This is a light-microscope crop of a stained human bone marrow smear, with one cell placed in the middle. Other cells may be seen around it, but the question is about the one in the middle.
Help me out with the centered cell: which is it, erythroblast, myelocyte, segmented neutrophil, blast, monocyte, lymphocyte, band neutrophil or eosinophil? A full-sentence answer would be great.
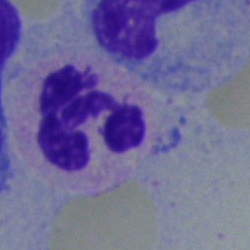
In the central position of this crop, the cell is a segmented neutrophil.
